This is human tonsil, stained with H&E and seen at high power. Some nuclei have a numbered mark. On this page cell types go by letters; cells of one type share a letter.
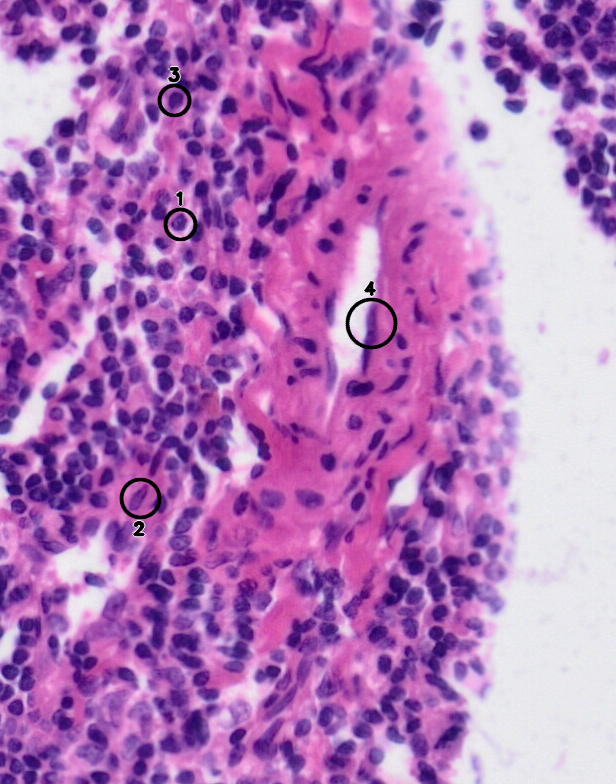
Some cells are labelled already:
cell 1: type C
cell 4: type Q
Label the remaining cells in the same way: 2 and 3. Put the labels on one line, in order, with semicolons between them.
type Q; type C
